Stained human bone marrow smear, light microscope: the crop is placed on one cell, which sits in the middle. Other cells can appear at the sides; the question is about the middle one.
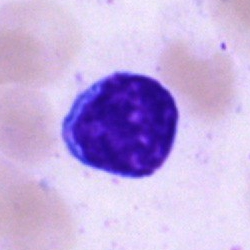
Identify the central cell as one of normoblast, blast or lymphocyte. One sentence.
The cell that lies at the centre of the crop is a lymphocyte.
